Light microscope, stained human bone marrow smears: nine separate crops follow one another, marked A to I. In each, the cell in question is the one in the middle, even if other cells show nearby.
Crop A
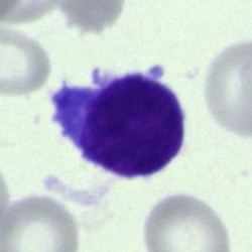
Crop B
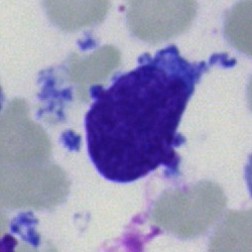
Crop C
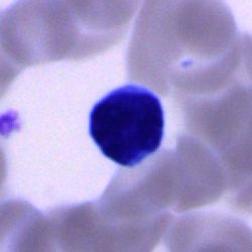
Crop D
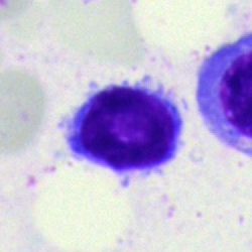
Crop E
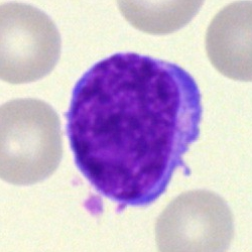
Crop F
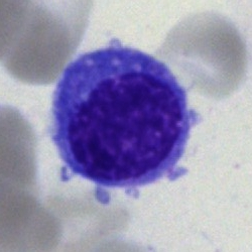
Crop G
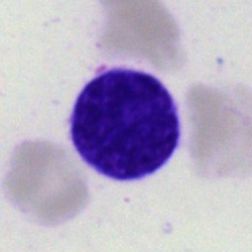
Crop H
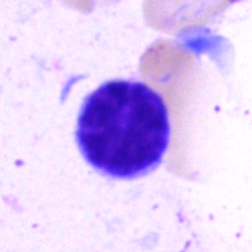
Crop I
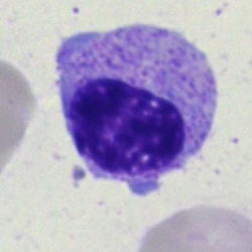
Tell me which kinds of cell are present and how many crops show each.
blast: 4
lymphocyte: 4
myelocyte: 1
